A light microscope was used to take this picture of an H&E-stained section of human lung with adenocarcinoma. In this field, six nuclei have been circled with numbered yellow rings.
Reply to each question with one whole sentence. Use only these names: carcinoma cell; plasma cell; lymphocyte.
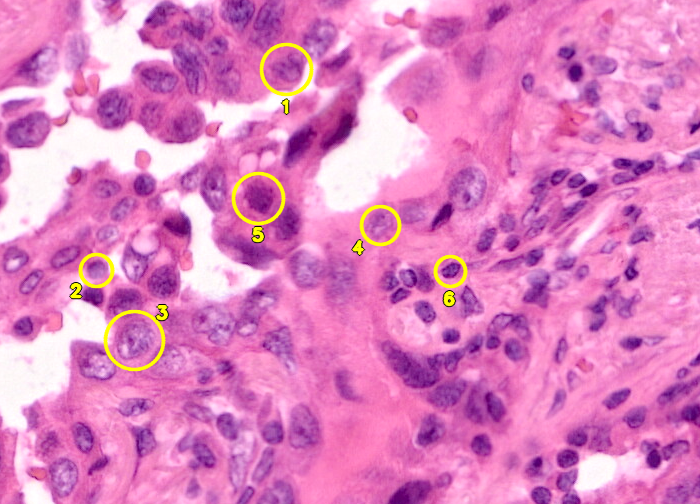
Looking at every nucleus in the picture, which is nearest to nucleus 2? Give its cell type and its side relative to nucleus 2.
A lymphocyte lies closest, below nucleus 2.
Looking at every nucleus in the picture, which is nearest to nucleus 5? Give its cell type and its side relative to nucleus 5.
It is a carcinoma cell, whose nucleus lies below and to the right of nucleus 5.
